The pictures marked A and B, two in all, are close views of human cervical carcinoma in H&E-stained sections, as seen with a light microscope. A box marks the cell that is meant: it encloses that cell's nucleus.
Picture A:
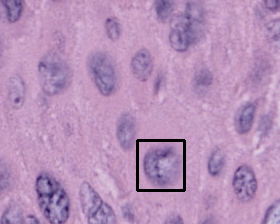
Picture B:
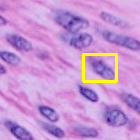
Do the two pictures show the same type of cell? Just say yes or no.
no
